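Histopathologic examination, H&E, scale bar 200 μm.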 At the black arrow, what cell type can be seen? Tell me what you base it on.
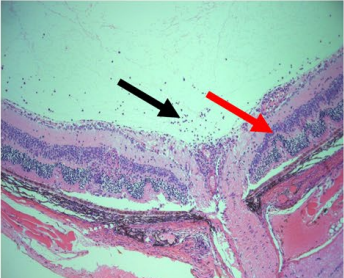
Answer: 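Inflammatory cells. Small, dark-staining round cells lie scattered in the clear space above the inner retinal surface. The cells cluster near the optic nerve head.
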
